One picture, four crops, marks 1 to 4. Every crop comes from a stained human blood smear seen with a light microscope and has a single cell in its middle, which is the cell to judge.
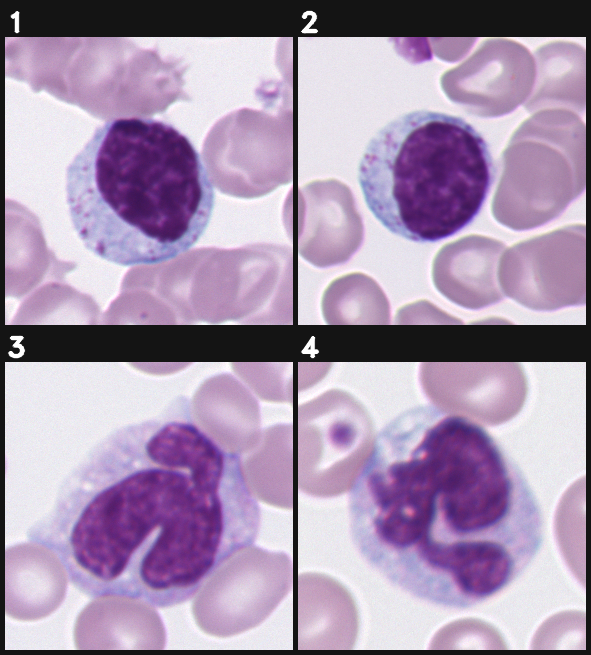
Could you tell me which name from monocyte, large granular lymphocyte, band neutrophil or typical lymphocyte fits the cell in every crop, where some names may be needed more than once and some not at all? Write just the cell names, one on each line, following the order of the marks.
large granular lymphocyte
large granular lymphocyte
monocyte
monocyte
